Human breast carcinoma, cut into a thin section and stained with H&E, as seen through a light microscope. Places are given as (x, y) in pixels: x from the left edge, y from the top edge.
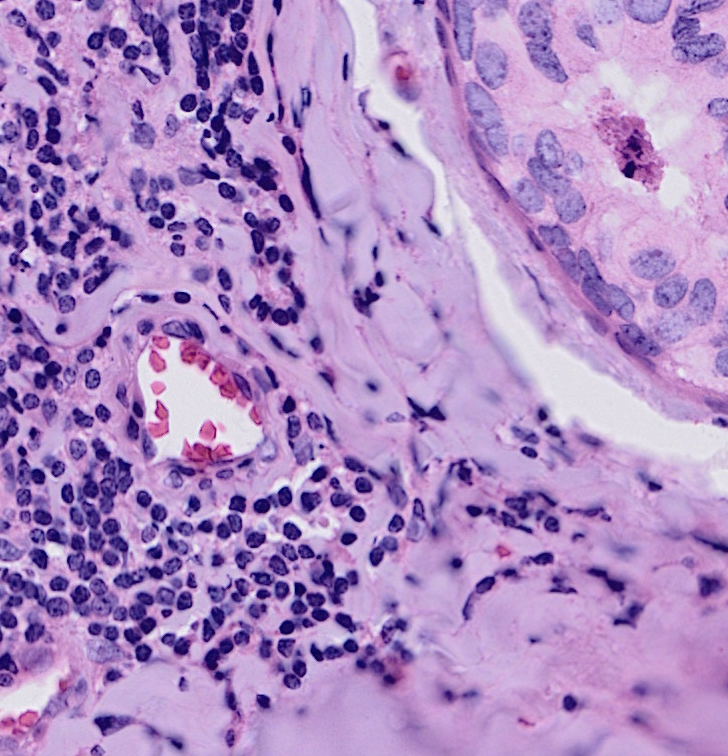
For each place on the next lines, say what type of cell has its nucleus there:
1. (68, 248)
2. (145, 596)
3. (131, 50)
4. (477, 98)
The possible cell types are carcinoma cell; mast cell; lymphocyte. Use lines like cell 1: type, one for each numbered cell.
cell 1: lymphocyte
cell 2: lymphocyte
cell 3: lymphocyte
cell 4: carcinoma cell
